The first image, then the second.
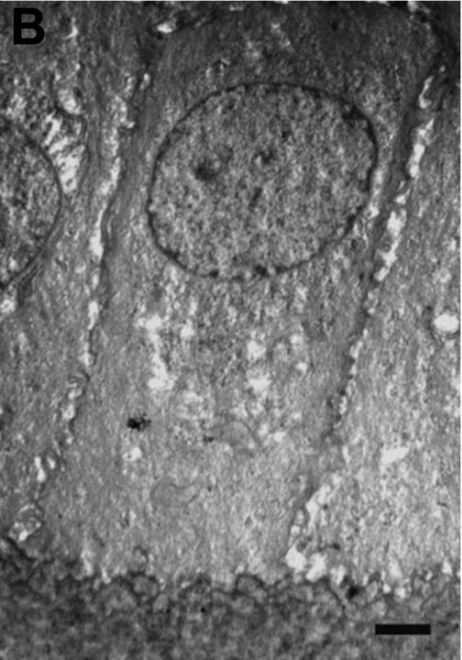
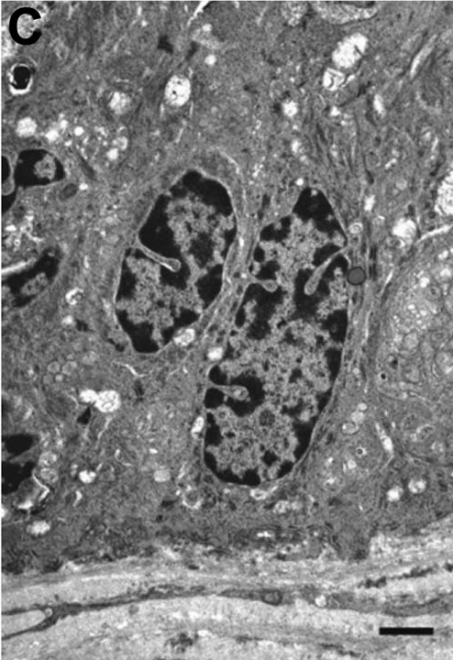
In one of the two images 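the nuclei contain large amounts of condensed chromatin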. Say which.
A: The second image.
